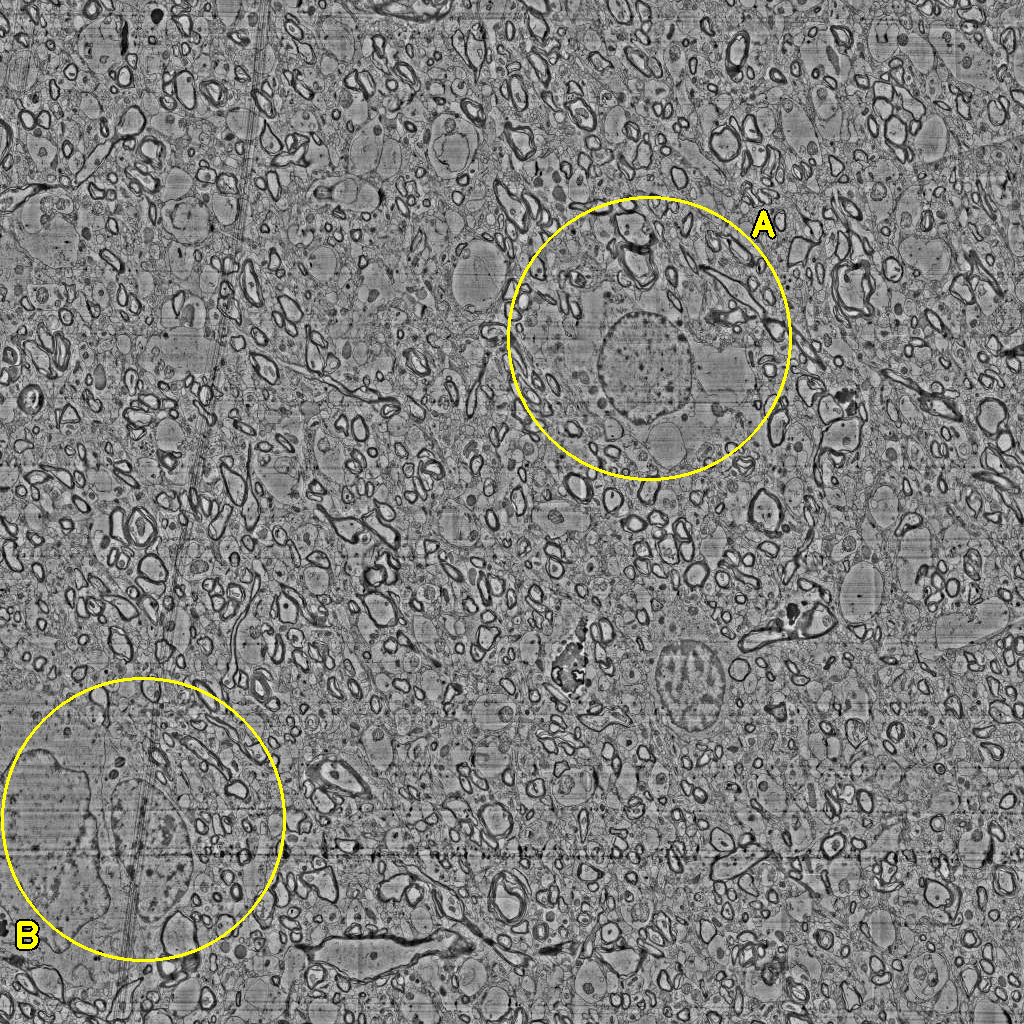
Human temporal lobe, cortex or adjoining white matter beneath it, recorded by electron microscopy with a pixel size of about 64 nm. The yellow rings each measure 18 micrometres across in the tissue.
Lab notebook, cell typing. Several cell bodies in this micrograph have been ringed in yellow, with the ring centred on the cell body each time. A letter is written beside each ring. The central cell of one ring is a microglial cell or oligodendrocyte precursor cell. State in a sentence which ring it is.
It is ring B.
